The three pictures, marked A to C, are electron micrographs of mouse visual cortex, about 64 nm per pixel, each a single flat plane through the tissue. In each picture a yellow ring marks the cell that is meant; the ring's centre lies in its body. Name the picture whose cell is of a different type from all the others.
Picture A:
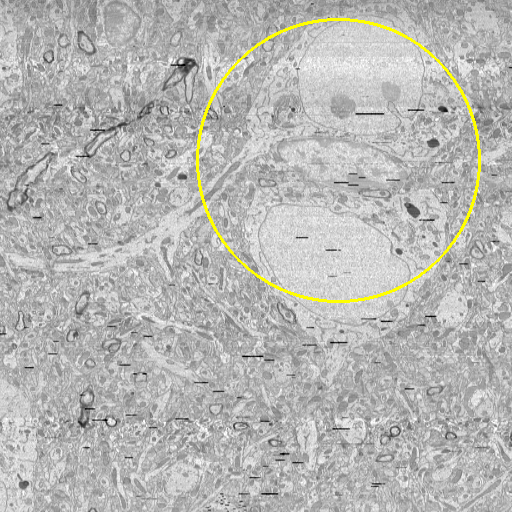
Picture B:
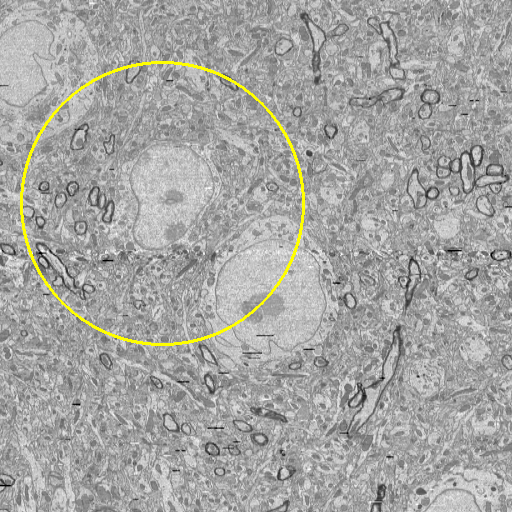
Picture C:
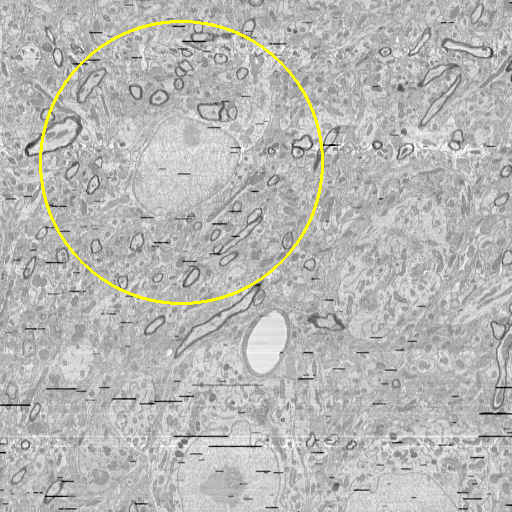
The others show astrocytes, but picture A shows an oligodendrocyte.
